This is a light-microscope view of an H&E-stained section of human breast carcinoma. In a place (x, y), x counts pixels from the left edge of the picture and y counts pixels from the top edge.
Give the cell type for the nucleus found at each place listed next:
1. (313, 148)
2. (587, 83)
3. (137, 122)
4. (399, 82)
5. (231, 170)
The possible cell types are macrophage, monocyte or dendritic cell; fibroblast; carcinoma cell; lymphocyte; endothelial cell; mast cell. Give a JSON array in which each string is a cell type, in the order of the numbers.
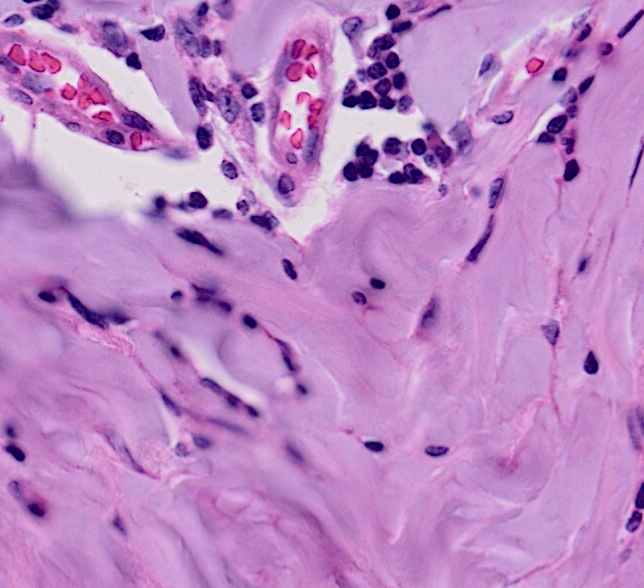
["endothelial cell", "lymphocyte", "endothelial cell", "lymphocyte", "lymphocyte"]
